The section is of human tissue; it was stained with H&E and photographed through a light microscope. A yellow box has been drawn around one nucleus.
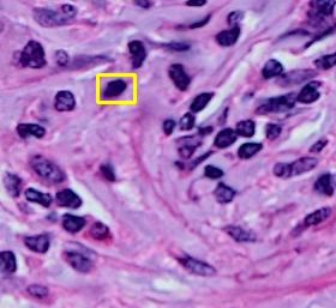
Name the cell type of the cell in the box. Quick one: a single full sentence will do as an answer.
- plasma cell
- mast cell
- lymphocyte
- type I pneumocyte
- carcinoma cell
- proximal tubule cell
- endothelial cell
At the level of cell identity, the cell in the box is a lymphocyte.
